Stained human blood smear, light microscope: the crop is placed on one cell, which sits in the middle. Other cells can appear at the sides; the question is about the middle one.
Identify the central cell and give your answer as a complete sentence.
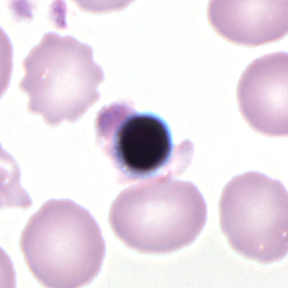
The cell marked by its central position in the crop is a normoblast.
